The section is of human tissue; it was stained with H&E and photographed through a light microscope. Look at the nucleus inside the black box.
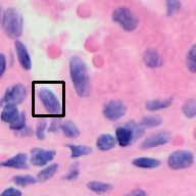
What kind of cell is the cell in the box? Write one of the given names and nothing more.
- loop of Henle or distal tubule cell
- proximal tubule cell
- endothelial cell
endothelial cell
